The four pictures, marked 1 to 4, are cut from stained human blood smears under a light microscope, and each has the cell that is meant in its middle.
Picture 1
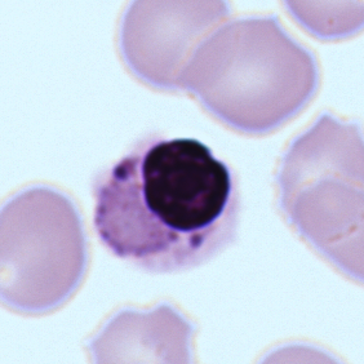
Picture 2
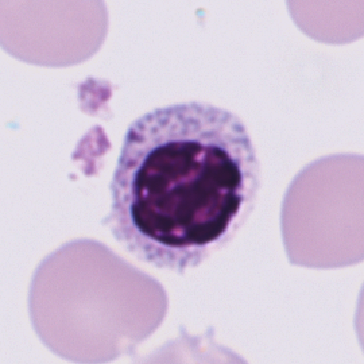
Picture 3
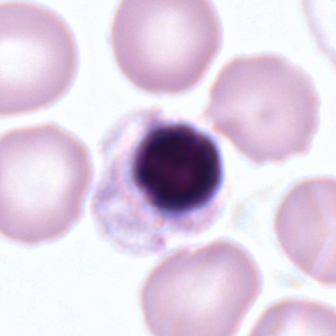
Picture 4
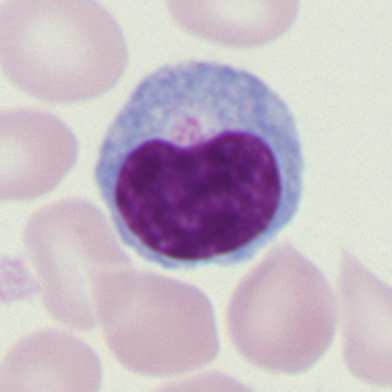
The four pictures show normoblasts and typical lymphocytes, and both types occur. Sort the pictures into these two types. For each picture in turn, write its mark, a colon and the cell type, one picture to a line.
1: normoblast
2: normoblast
3: normoblast
4: typical lymphocyte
